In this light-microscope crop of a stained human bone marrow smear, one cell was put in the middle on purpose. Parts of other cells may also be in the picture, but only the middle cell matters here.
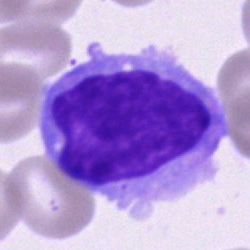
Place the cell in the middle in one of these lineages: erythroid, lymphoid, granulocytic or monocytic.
monocytic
